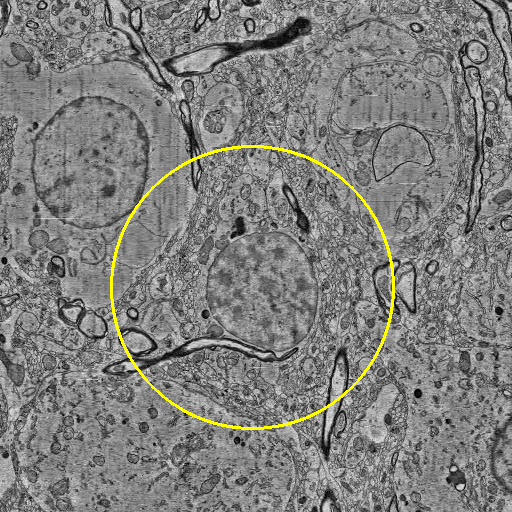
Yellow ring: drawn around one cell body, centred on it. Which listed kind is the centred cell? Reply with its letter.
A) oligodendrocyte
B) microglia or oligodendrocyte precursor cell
A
